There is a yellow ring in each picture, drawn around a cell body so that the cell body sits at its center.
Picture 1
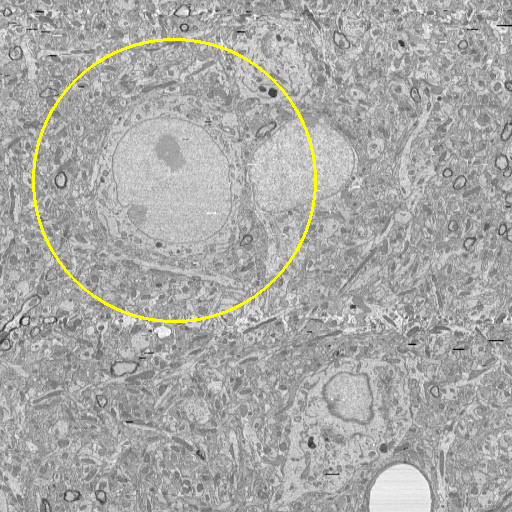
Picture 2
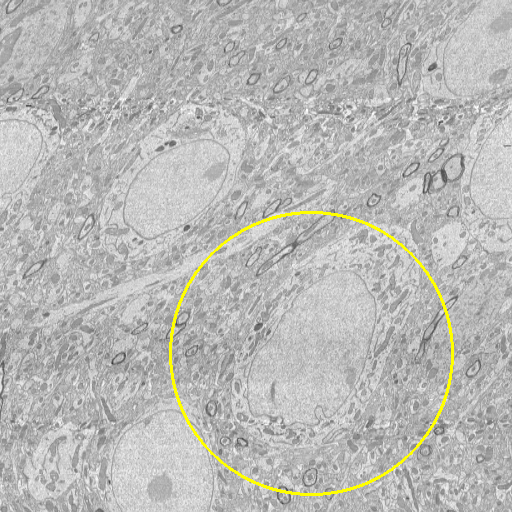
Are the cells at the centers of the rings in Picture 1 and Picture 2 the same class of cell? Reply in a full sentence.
No, the two cells are two classes of cell.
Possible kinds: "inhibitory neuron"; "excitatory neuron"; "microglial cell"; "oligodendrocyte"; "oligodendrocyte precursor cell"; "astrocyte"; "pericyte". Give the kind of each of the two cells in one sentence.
The cell in the second picture is an inhibitory neuron, and that in the first is an excitatory neuron.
